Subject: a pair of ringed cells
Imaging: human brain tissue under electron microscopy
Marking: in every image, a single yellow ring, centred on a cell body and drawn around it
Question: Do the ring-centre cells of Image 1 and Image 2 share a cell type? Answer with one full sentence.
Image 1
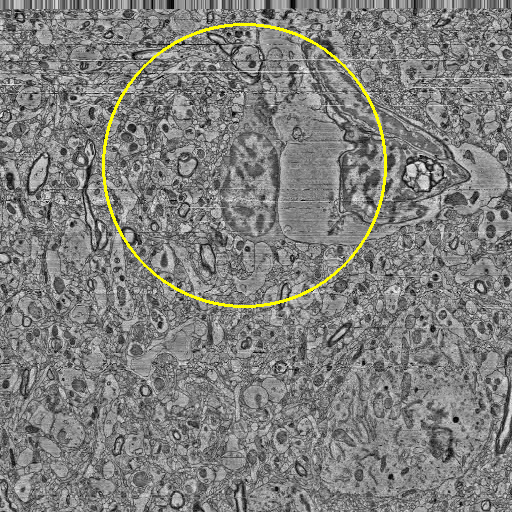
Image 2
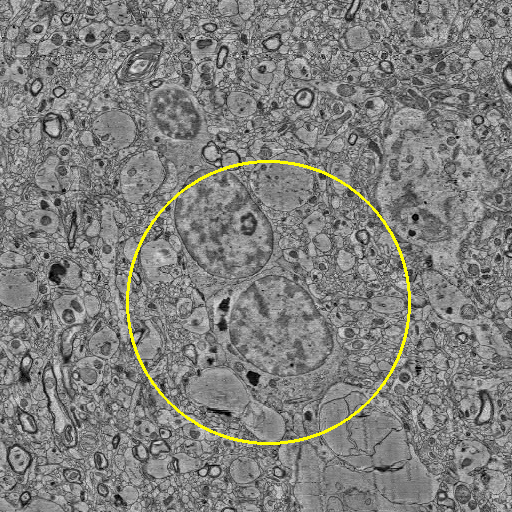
Yes, at each ring's centre in the images sits a cell of one common type.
